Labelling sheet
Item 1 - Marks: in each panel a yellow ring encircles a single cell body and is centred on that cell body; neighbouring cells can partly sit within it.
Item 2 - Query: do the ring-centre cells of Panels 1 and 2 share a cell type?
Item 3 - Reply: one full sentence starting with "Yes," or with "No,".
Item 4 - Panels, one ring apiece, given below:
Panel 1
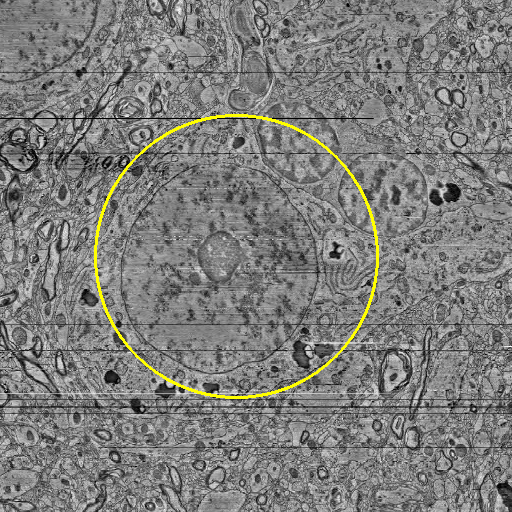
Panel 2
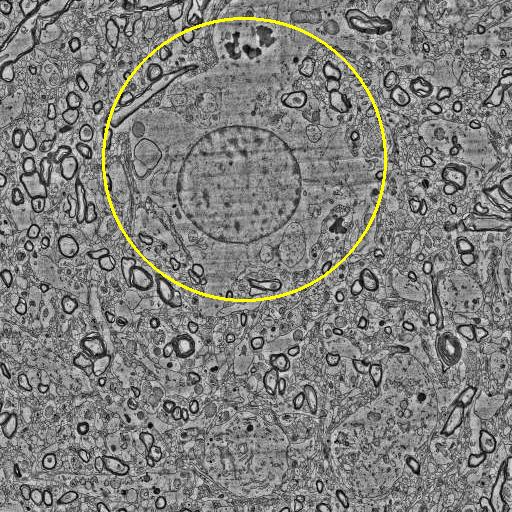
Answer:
No, Panel 1 and Panel 2 show two cell types at the centres of their rings.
